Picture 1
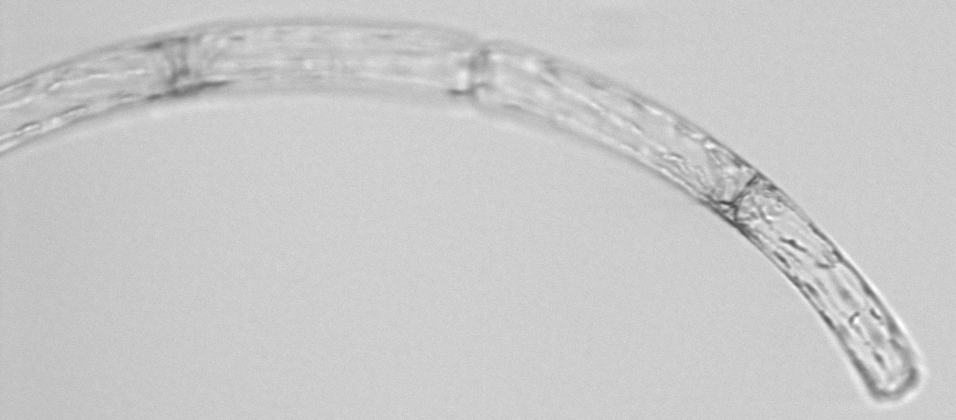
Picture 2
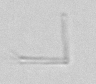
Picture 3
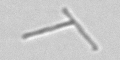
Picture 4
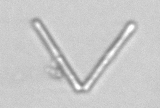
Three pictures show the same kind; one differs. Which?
Picture 1: Guinardia, while the others are Nanoneis.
